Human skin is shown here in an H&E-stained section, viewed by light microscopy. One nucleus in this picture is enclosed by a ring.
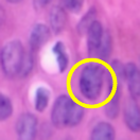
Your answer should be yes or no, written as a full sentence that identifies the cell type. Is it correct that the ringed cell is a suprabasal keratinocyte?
No; the ringed cell should be labelled a basal keratinocyte rather than a suprabasal keratinocyte.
